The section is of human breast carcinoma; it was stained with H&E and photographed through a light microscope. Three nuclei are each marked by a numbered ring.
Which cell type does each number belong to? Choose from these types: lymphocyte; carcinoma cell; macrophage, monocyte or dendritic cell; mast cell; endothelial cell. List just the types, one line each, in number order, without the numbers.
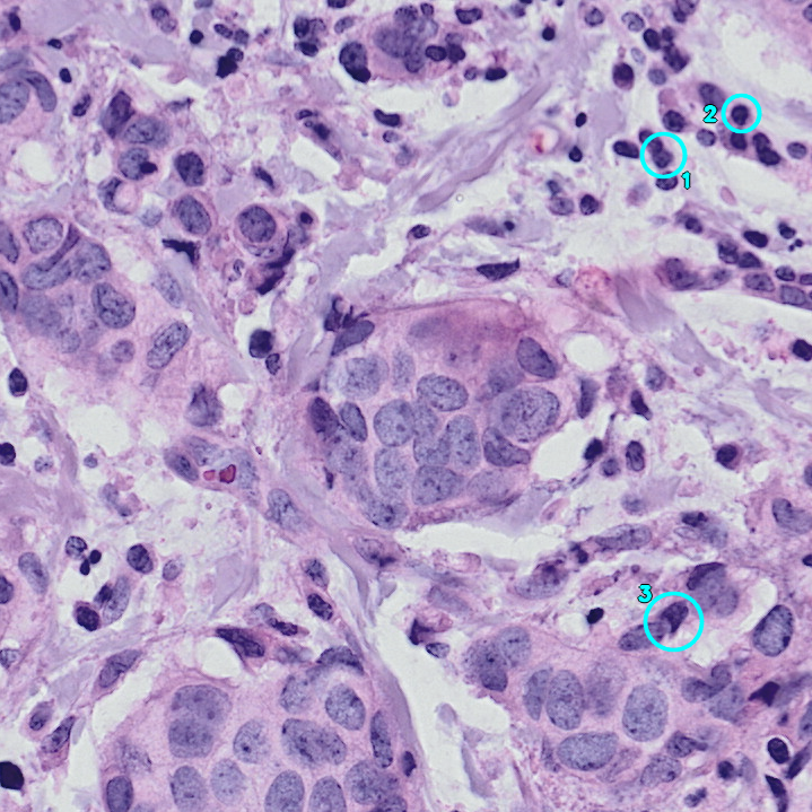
lymphocyte
lymphocyte
carcinoma cell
